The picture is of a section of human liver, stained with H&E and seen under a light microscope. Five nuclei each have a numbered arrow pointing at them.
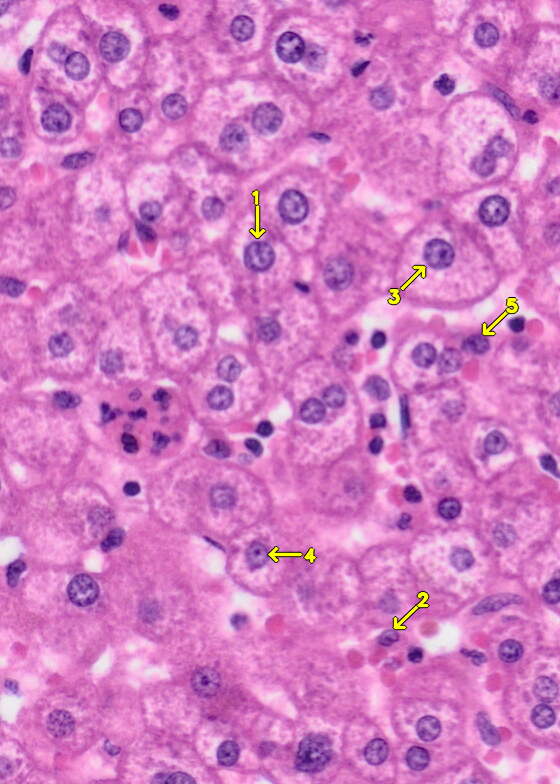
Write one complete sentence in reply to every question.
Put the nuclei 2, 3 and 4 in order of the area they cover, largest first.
Largest first, the order by area is 3, 4, 2.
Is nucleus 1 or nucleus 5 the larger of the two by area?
Nucleus 1 is the larger one, covering about 2 times the area of nucleus 5.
